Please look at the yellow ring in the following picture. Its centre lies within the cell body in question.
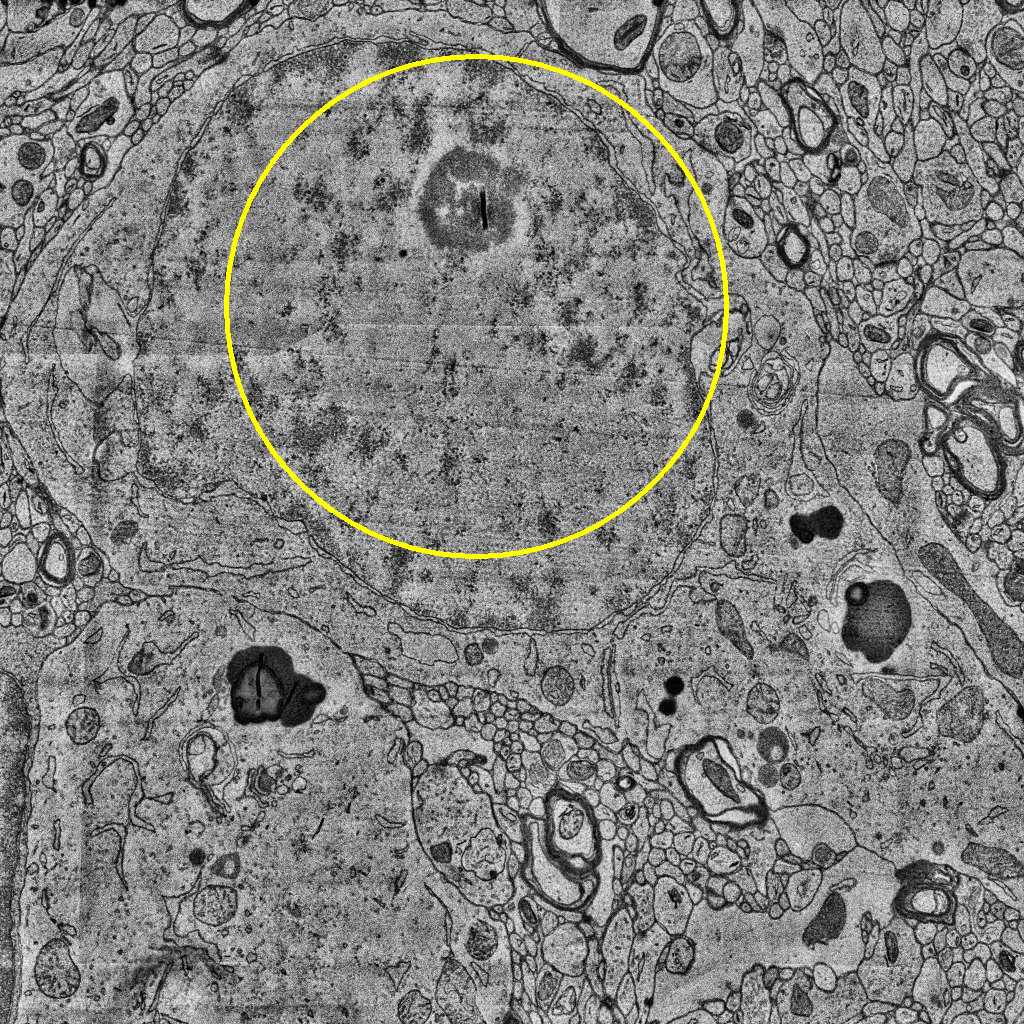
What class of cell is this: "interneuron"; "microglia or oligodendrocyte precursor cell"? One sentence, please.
The centre of the ring lies in the cell body of an interneuron.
